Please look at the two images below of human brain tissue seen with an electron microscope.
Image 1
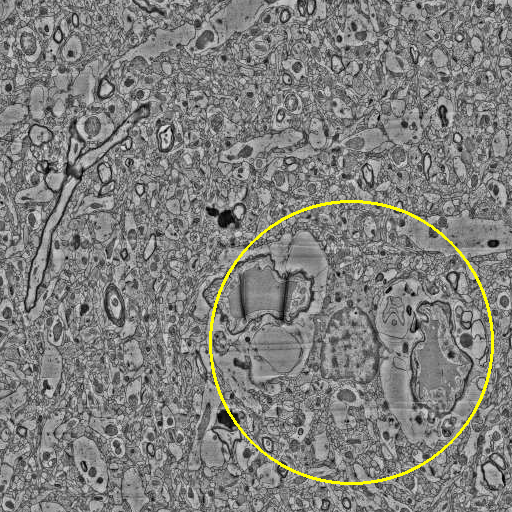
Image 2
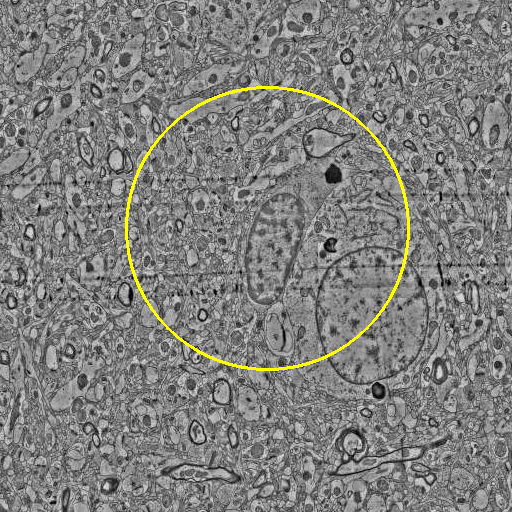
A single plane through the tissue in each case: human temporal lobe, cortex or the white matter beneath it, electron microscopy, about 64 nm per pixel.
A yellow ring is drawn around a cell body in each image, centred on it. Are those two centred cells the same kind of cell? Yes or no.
yes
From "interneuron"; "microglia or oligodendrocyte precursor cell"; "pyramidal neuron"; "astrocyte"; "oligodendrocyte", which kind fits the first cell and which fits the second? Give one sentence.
Each of the two pictures has an oligodendrocyte at the ring centre.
